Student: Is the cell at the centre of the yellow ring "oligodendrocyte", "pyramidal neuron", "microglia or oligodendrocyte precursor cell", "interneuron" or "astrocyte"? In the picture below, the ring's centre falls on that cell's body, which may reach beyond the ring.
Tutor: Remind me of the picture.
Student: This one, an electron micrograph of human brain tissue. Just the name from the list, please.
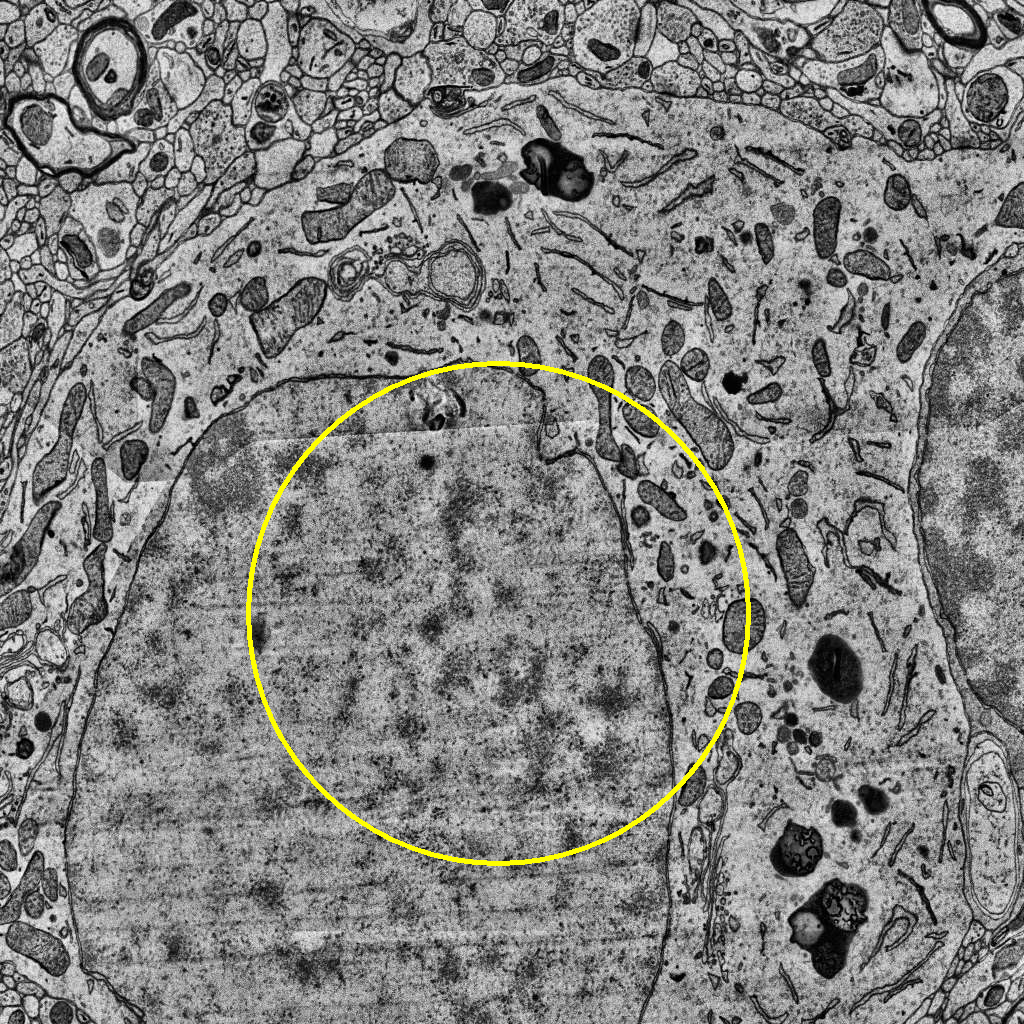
interneuron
